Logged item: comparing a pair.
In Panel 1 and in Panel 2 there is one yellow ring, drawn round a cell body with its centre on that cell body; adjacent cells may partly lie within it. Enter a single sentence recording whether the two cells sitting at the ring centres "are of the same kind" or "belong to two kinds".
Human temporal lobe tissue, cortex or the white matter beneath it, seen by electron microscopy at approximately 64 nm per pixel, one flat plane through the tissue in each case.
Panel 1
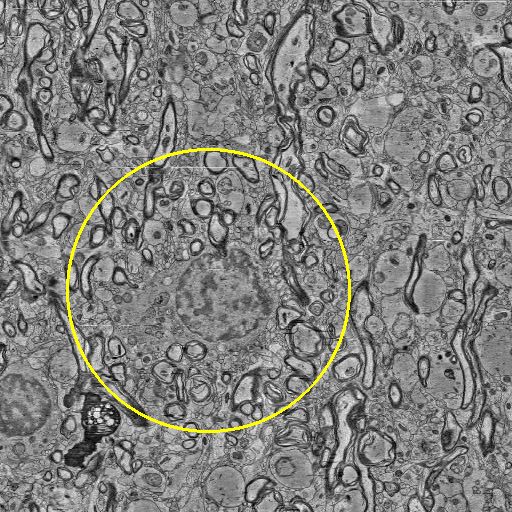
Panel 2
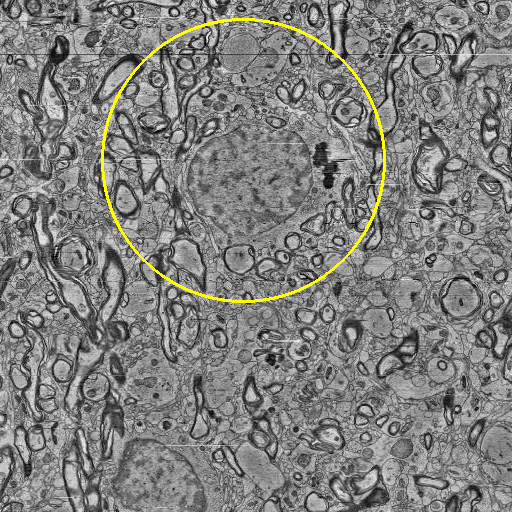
Logged: the cells centred in the rings of Panel 1 and Panel 2 are of the same kind.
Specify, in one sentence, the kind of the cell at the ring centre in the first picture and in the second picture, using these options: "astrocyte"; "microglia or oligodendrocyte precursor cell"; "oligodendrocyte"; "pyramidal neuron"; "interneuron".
Both the first and the second picture show an oligodendrocyte in the ring.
